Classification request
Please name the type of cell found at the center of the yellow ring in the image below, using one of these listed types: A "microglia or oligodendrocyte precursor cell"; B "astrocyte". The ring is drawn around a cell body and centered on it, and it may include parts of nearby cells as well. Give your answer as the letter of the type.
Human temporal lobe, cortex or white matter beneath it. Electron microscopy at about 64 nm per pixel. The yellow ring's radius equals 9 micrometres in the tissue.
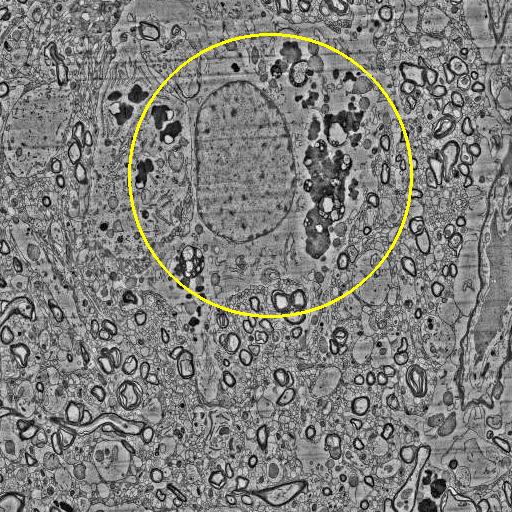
B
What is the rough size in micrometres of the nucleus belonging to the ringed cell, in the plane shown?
Roughly 10 micrometres by 7 micrometres, so the nucleus is clearly longer than it is wide in this plane.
